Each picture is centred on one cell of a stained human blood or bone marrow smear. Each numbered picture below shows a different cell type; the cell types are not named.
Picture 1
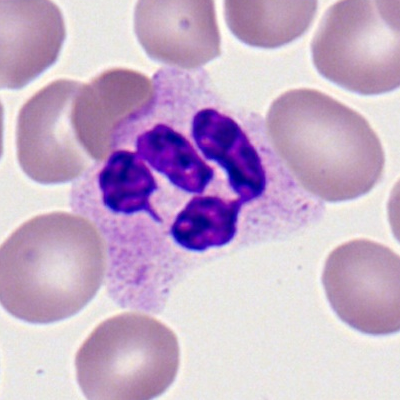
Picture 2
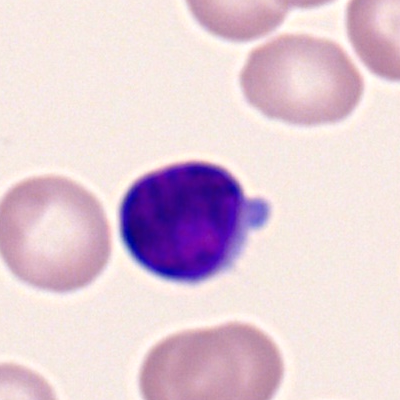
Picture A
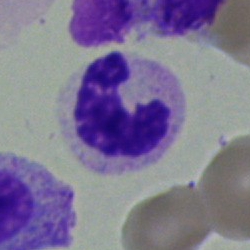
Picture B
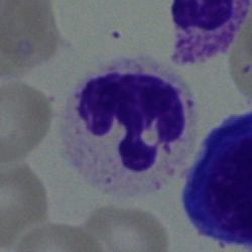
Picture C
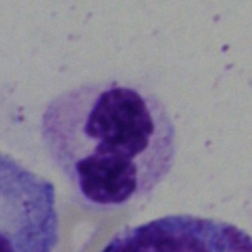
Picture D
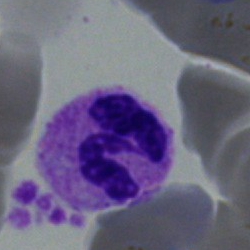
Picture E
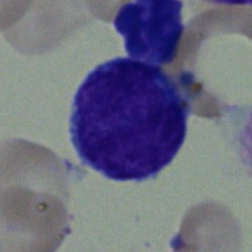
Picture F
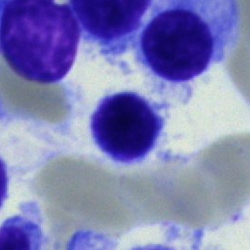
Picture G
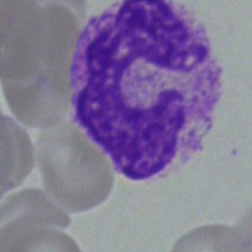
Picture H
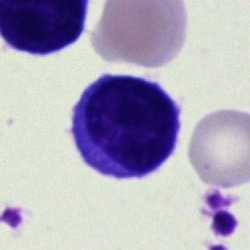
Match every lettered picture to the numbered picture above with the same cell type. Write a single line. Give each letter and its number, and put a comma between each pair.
A 1, B 1, C 1, D 1, E 2, F 2, G 1, H 2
